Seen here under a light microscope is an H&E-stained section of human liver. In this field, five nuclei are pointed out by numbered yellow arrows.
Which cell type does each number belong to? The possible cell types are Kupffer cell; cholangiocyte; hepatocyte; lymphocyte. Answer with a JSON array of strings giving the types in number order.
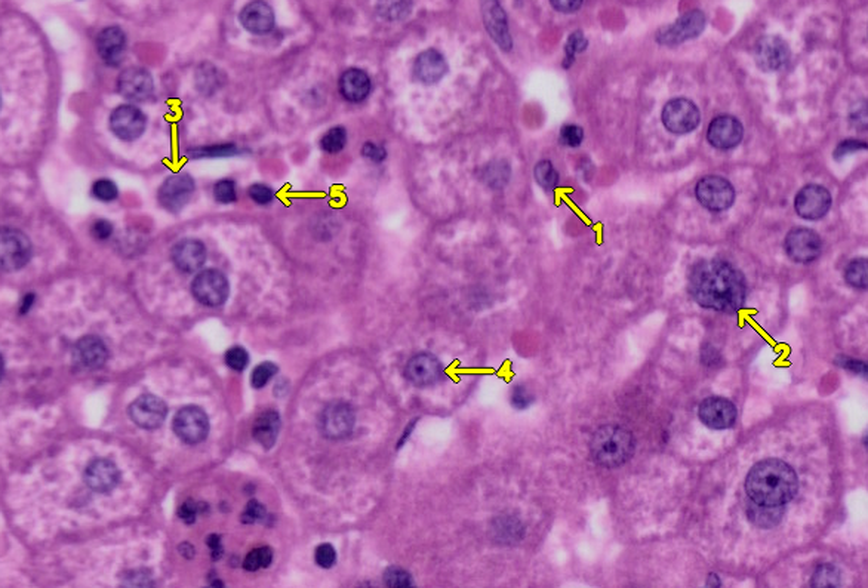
["Kupffer cell", "hepatocyte", "Kupffer cell", "hepatocyte", "lymphocyte"]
